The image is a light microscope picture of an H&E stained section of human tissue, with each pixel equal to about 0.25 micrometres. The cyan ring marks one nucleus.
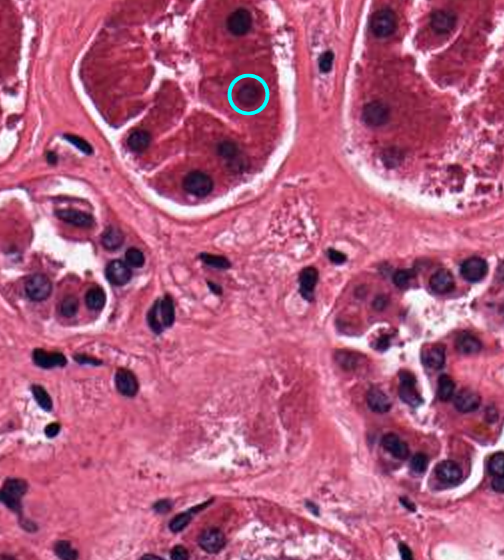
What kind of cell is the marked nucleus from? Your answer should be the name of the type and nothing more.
proximal tubule cell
